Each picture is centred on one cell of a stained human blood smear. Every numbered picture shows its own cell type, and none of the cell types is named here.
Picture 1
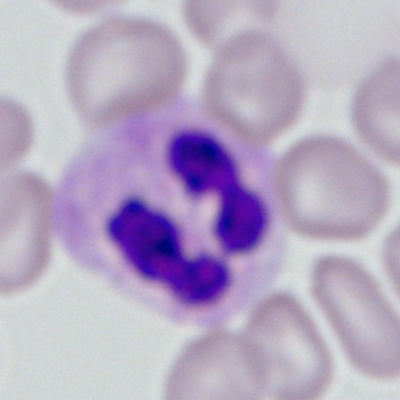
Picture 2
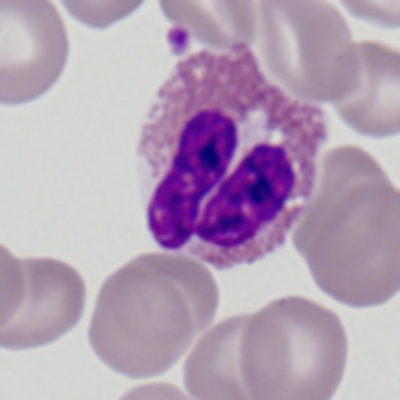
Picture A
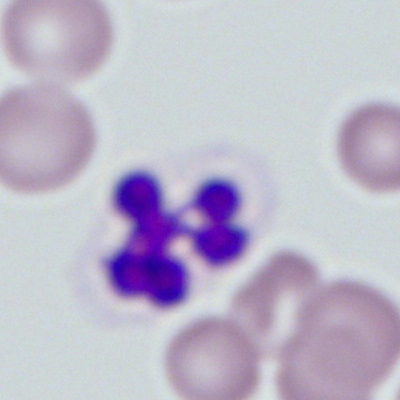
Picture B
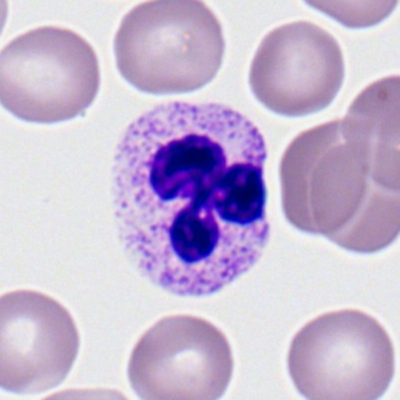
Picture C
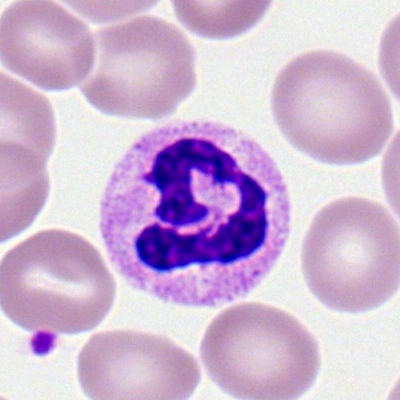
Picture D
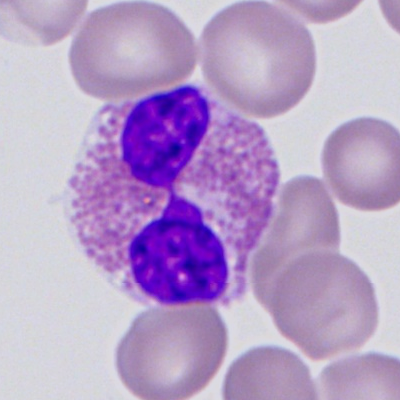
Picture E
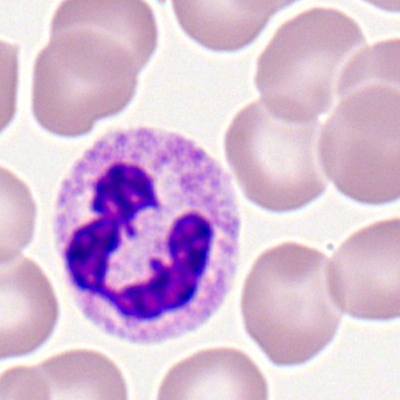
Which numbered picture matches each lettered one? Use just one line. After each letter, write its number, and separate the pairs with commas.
A 1, B 1, C 1, D 2, E 1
